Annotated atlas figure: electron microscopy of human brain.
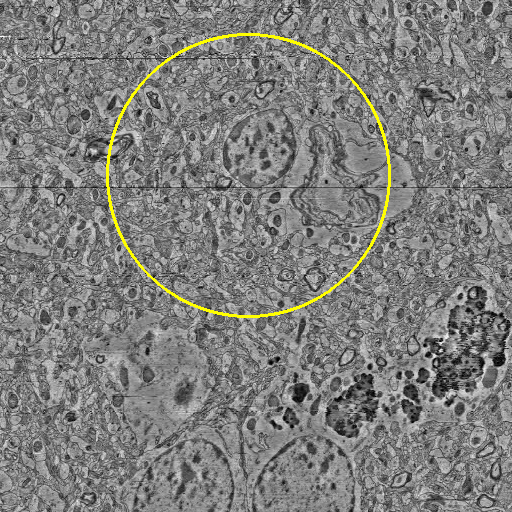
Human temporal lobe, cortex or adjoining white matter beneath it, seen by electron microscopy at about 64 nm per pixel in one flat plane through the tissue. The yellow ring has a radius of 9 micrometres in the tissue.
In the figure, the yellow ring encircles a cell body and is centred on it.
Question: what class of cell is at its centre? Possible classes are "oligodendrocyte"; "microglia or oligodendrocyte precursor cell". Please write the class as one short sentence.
The yellow ring is drawn around a microglial cell or oligodendrocyte precursor cell.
